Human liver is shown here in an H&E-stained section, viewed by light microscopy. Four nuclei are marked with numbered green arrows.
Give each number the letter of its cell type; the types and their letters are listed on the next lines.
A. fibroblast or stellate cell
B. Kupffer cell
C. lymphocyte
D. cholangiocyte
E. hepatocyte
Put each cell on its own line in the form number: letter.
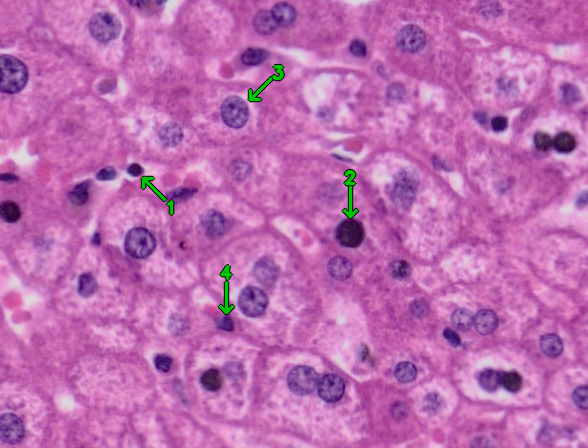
1: C
2: E
3: E
4: A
